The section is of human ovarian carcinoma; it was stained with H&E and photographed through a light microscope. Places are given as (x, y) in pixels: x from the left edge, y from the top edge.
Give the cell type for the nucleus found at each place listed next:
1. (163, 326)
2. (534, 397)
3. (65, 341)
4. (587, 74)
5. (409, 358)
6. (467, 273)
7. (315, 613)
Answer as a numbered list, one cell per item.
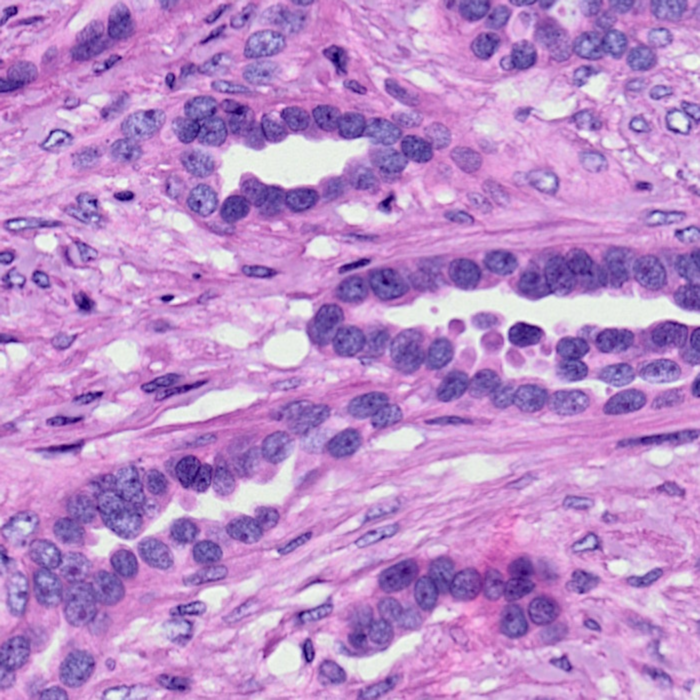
1. fibroblast
2. carcinoma cell
3. fibroblast
4. fibroblast
5. carcinoma cell
6. carcinoma cell
7. fibroblast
